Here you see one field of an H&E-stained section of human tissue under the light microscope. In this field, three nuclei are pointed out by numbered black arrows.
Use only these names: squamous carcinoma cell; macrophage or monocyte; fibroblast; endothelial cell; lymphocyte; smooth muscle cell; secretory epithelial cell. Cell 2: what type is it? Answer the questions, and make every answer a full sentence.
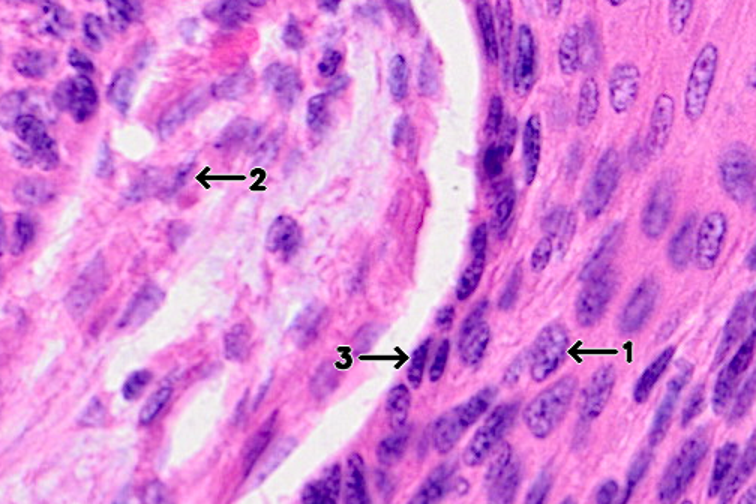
Number 2 is placed on a fibroblast here.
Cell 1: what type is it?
The cell pointed out as number 1 is a squamous carcinoma cell.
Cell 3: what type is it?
Cell 3, among those numbered, is a squamous carcinoma cell.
